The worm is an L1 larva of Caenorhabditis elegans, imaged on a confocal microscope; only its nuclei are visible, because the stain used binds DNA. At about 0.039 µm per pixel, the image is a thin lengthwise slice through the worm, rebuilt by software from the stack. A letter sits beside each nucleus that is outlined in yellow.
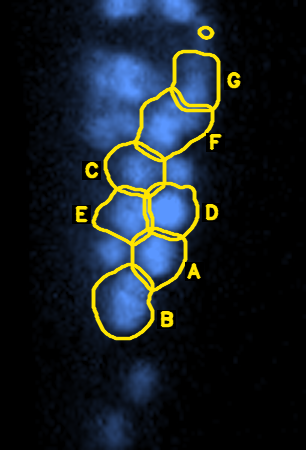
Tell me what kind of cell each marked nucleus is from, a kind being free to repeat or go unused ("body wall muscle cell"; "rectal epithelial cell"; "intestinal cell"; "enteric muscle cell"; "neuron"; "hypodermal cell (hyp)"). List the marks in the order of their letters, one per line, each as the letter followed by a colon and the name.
A: neuron
B: body wall muscle cell
C: neuron
D: neuron
E: enteric muscle cell
F: rectal epithelial cell
G: hypodermal cell (hyp)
